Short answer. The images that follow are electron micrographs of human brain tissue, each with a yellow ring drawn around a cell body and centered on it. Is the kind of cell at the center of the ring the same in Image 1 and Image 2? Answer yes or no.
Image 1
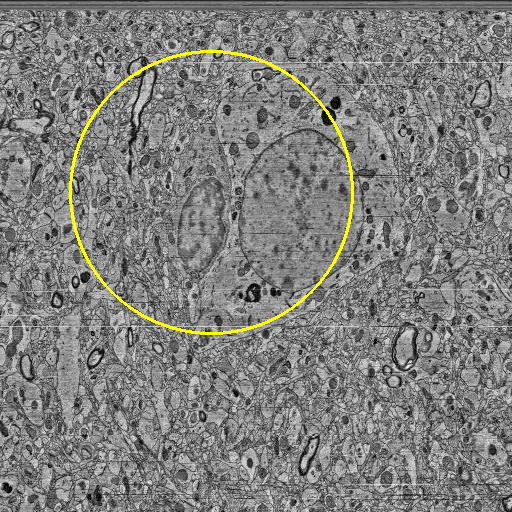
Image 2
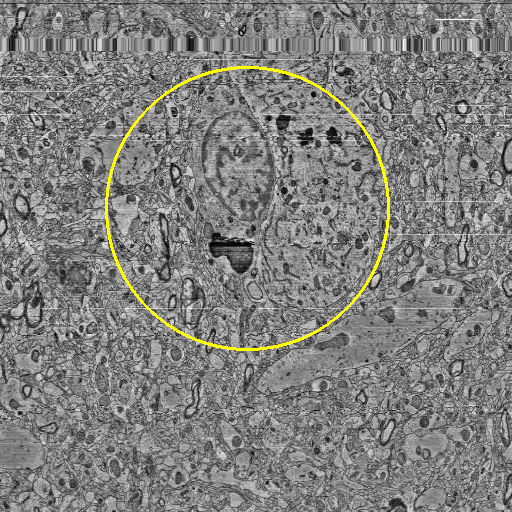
yes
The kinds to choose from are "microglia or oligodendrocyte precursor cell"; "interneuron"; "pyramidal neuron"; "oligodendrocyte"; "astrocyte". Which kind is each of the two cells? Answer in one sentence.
Each cell, in the first picture and the second, is an oligodendrocyte.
